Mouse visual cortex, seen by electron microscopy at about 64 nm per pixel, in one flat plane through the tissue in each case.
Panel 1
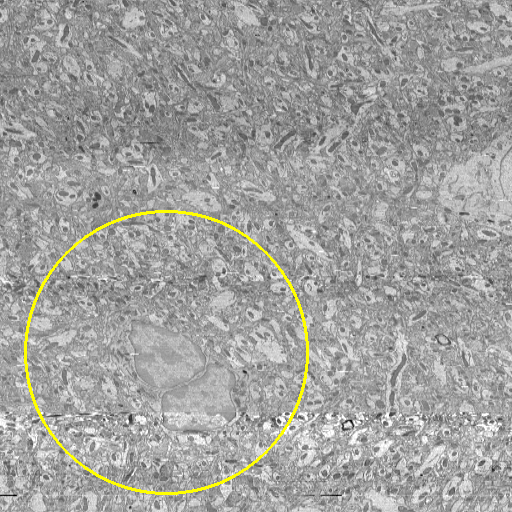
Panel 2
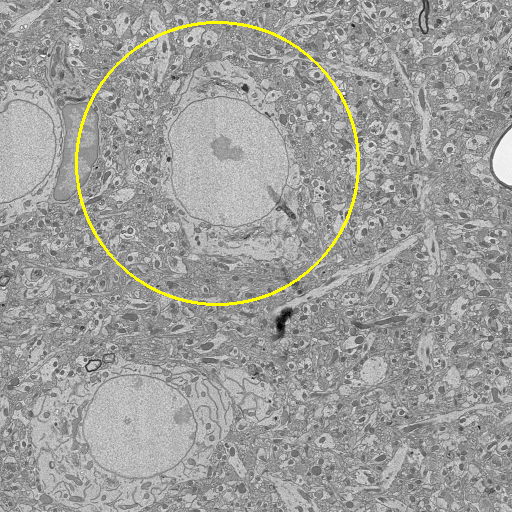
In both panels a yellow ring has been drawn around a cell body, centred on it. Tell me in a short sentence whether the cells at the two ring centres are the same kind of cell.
No, they are two kinds of cell.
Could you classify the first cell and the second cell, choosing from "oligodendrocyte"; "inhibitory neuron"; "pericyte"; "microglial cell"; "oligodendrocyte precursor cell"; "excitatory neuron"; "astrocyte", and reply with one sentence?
The second cell is an excitatory neuron, while the first is a microglial cell.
